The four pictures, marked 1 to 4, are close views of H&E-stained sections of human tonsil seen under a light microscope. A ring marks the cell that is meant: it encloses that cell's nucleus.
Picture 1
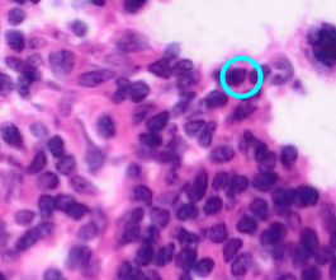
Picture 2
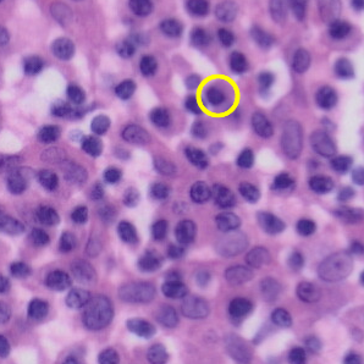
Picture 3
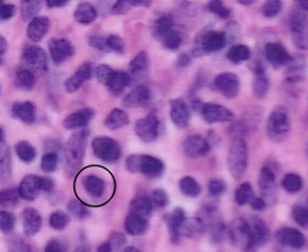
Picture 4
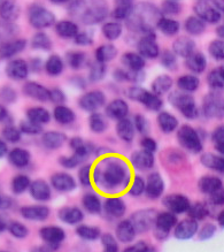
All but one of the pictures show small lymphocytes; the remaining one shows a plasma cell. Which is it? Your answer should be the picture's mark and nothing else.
2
